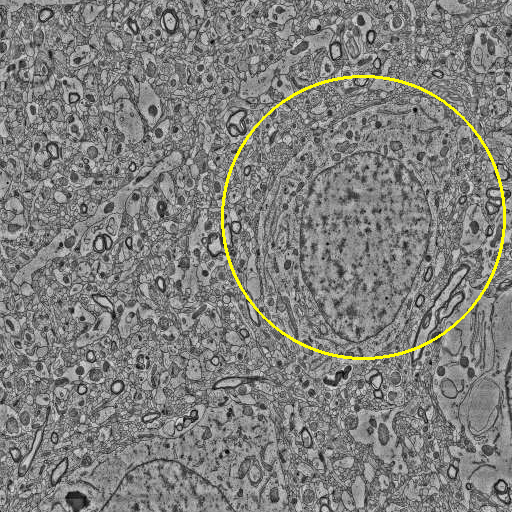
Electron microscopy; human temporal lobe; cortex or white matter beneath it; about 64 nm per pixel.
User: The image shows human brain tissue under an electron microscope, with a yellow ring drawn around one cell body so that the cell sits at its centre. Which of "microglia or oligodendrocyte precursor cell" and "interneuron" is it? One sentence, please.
At the centre of the ring sits an interneuron.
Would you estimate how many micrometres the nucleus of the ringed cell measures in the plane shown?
The ringed cell's nucleus is about 12 micrometres long and 8 micrometres wide in this plane.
